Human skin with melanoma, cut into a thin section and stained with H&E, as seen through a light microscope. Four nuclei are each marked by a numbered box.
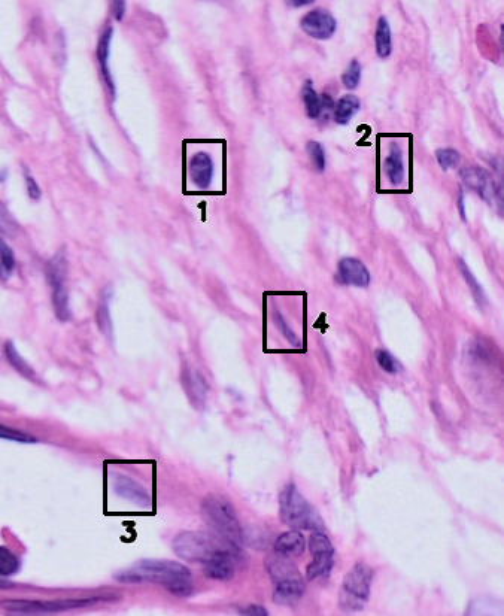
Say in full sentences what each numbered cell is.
Cells 1 and 2 are lymphocytes. Cell 3 is an endothelial cell. Cell 4 is a fibroblast or myofibroblast.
